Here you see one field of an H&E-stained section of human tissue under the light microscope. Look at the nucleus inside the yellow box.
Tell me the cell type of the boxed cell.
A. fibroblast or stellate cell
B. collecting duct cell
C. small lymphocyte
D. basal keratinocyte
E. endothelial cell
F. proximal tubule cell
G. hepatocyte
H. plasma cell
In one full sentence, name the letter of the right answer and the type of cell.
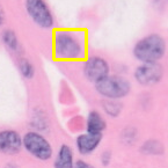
Option B is the one that fits, as the boxed cell is a collecting duct cell.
